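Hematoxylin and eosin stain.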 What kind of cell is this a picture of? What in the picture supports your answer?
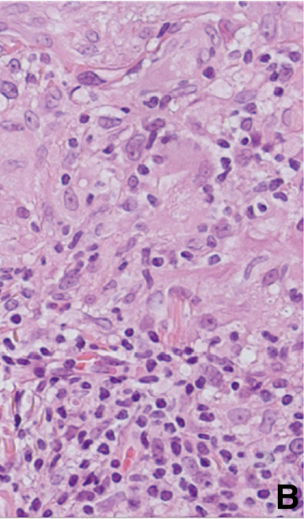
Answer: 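Giant cells. Large cells with broad pink cytoplasm holding several nuclei. These large cells sit among the pale epithelioid cells in the upper part of the field.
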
